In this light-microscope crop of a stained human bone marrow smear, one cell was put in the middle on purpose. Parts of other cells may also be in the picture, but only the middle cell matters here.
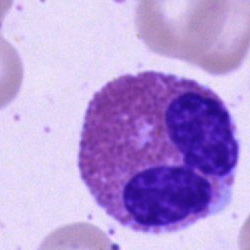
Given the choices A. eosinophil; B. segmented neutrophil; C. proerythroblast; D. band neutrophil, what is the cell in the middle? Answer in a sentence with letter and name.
Given that the cell in the middle is an eosinophil, option A is correct.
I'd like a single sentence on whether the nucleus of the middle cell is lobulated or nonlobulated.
The nucleus here is split into two or more lobes, not one.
